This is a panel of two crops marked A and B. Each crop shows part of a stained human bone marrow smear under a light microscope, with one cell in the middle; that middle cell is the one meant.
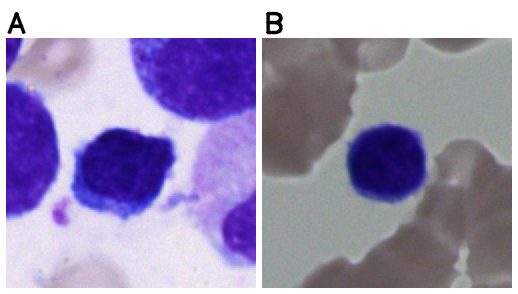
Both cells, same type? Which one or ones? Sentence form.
Yes, the cells in both crops are lymphocytes.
